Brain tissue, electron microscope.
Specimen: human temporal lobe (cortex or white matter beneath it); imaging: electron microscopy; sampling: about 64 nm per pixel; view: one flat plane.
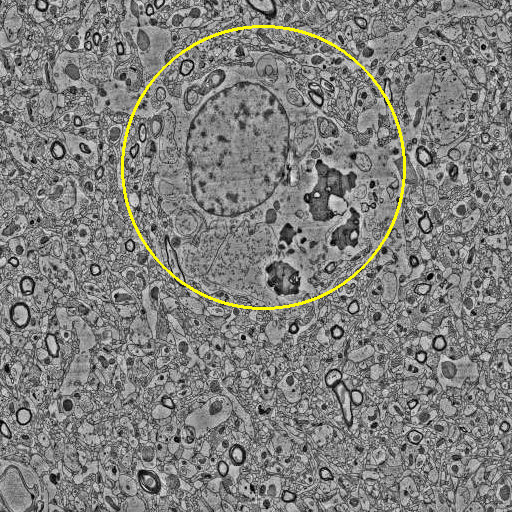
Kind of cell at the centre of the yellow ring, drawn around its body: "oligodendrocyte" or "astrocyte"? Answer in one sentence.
The ring's centre falls on an astrocyte.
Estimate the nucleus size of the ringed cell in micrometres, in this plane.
In this plane, about 9 micrometres in length and 7 in width.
